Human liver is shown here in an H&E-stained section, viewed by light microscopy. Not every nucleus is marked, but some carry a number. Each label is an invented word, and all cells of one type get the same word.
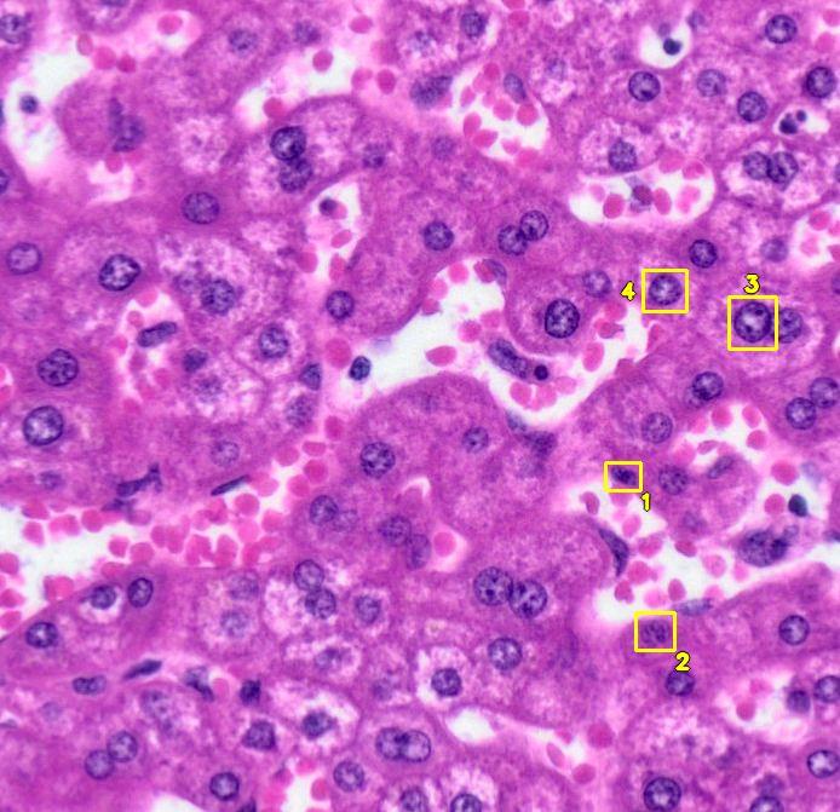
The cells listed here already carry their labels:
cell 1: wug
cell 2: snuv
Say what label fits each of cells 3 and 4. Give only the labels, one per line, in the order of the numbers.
snuv
snuv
